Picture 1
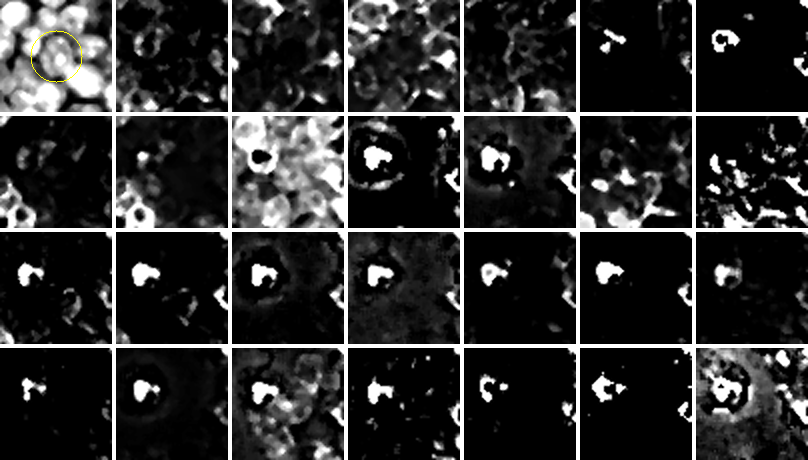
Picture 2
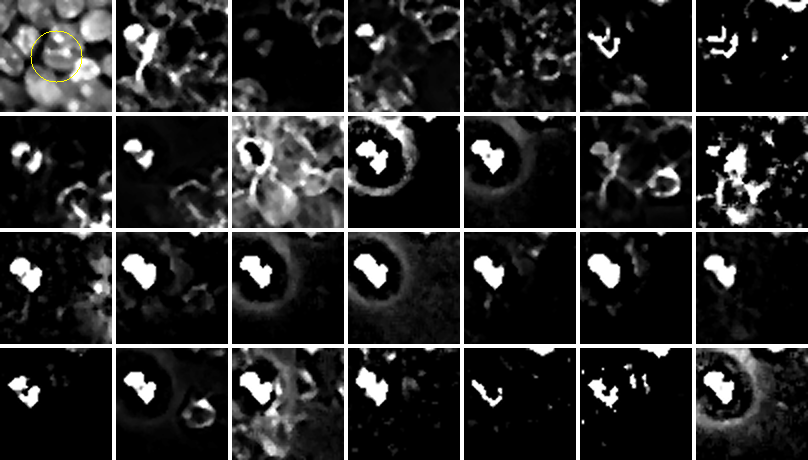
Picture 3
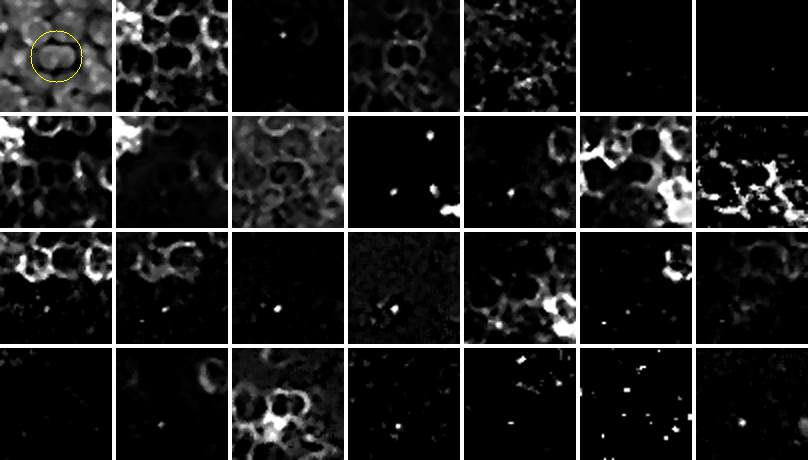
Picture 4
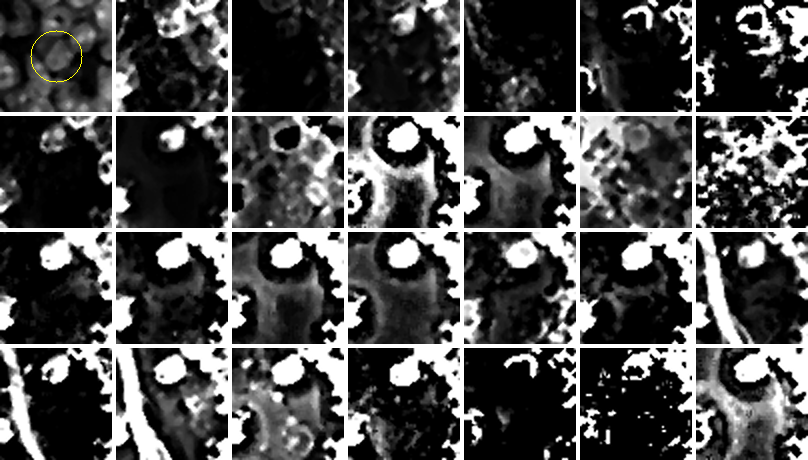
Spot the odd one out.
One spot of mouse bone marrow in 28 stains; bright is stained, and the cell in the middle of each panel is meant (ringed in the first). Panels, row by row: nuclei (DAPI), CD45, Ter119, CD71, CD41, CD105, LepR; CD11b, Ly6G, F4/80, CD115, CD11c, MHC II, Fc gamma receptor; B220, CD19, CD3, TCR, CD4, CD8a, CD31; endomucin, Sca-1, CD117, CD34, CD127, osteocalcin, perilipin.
Picture 4 (a KLS stem or progenitor cell among granulocyte-monocyte progenitors).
